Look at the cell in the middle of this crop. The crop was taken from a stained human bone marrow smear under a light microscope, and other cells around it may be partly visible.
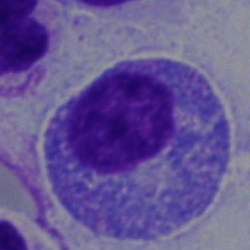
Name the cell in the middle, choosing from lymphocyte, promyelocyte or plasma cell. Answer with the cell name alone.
promyelocyte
